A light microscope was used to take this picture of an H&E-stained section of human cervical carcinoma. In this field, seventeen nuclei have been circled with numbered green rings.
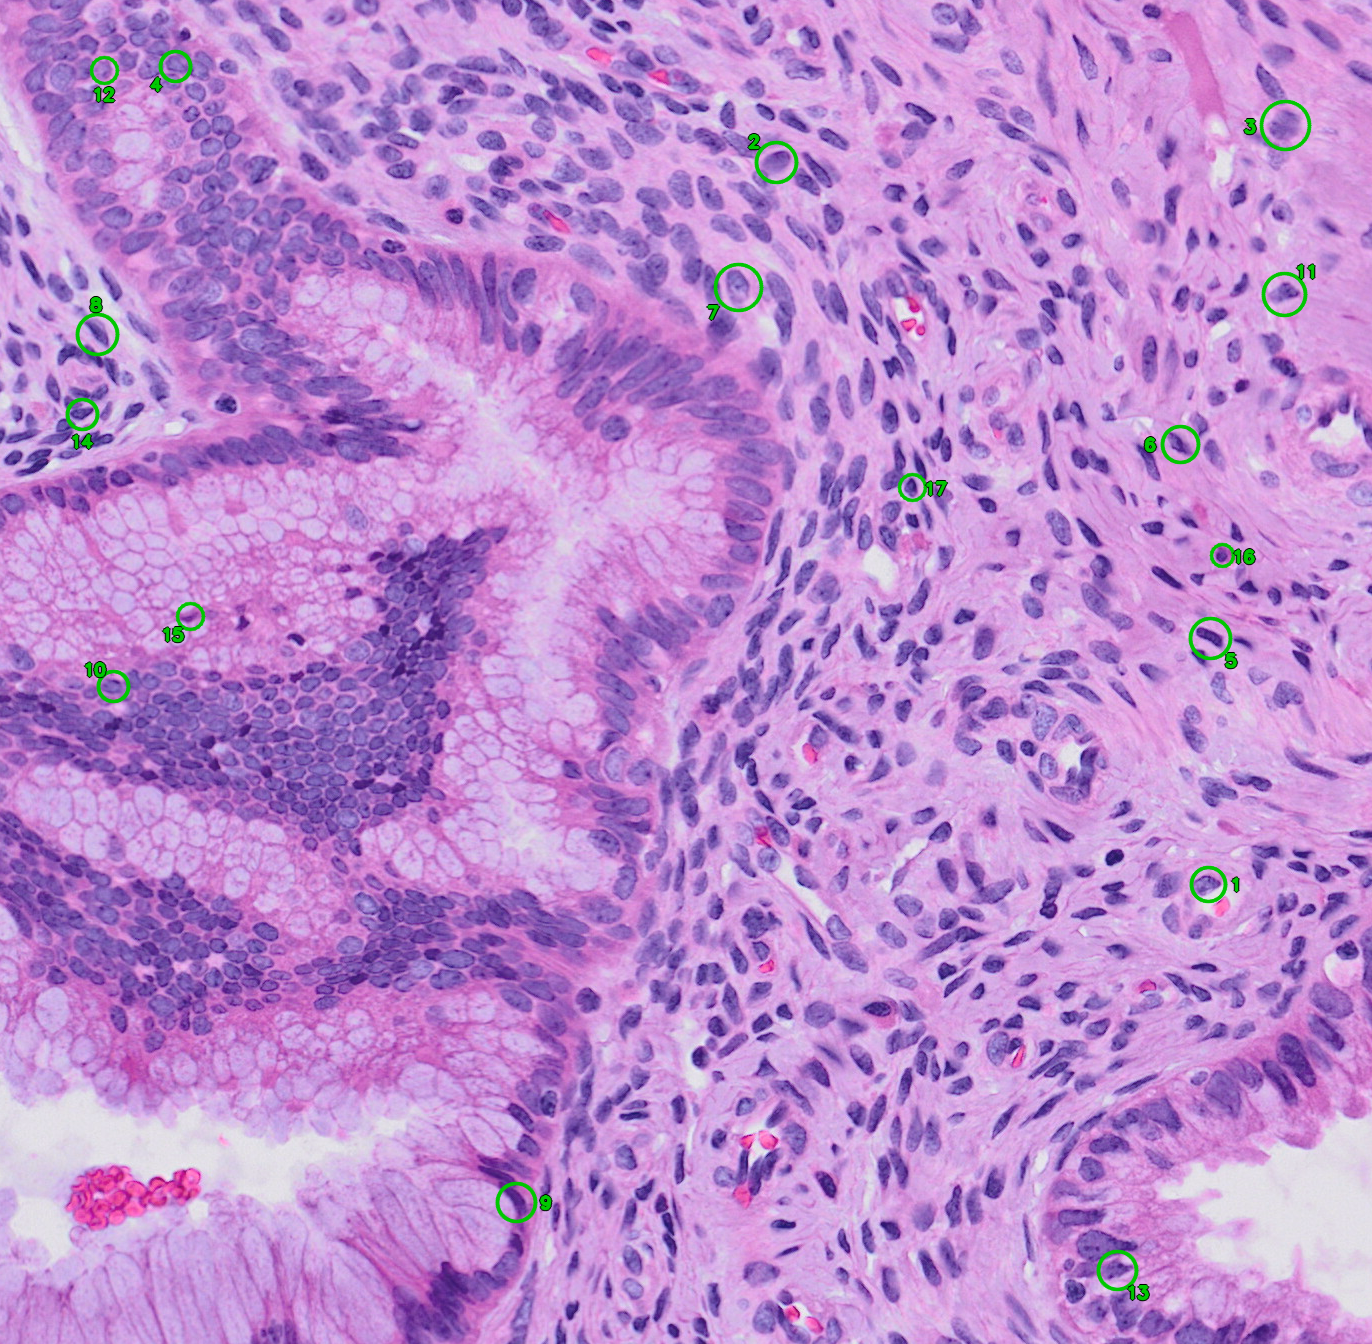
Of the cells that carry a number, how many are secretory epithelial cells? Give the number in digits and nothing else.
6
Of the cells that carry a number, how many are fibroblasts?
8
